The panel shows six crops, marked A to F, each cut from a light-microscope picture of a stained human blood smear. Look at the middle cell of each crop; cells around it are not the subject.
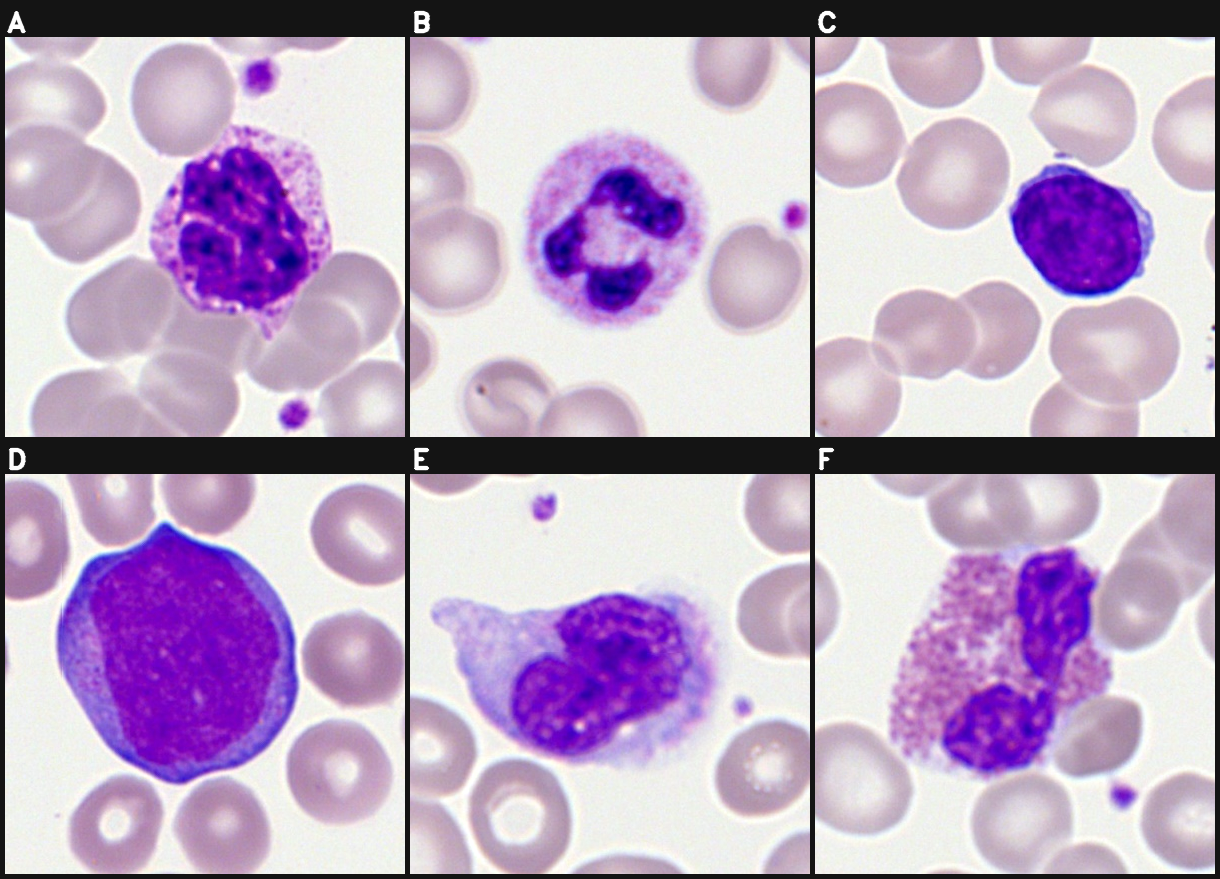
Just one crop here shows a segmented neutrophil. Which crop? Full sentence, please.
Among the crops provided, a segmented neutrophil occupies the center of crop B.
